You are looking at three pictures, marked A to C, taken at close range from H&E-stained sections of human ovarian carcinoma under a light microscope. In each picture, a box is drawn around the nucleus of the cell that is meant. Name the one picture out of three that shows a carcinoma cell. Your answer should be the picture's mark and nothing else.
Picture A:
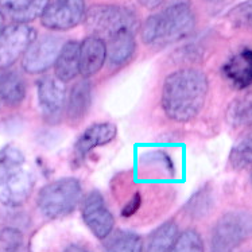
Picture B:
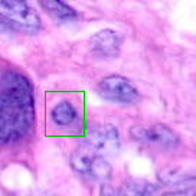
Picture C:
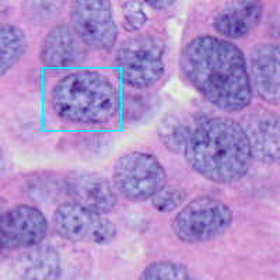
C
